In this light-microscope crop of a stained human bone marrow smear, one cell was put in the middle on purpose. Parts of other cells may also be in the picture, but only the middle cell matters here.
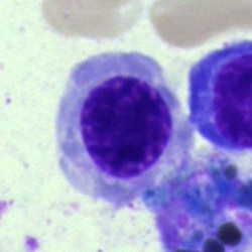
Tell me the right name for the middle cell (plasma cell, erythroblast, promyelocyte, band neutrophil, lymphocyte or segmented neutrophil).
erythroblast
